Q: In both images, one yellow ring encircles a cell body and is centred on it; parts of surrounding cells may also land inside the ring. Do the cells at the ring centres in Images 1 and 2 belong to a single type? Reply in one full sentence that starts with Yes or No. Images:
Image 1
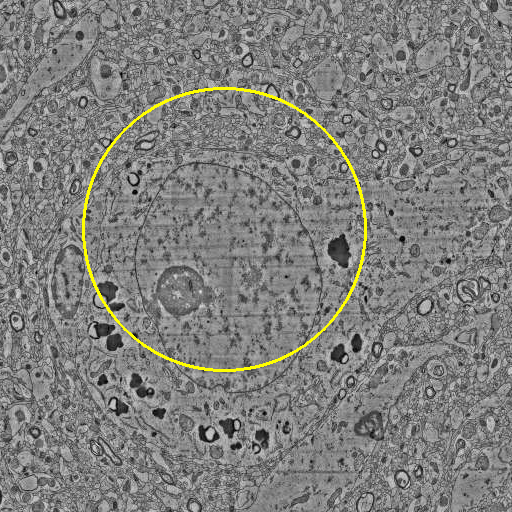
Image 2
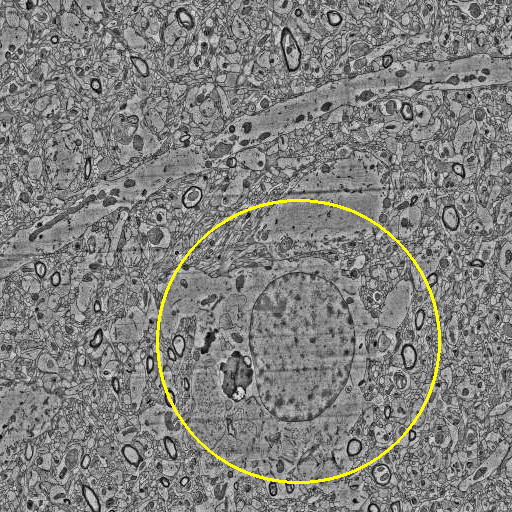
No, the cells at the ring centres in Images 1 and 2 are of two types.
